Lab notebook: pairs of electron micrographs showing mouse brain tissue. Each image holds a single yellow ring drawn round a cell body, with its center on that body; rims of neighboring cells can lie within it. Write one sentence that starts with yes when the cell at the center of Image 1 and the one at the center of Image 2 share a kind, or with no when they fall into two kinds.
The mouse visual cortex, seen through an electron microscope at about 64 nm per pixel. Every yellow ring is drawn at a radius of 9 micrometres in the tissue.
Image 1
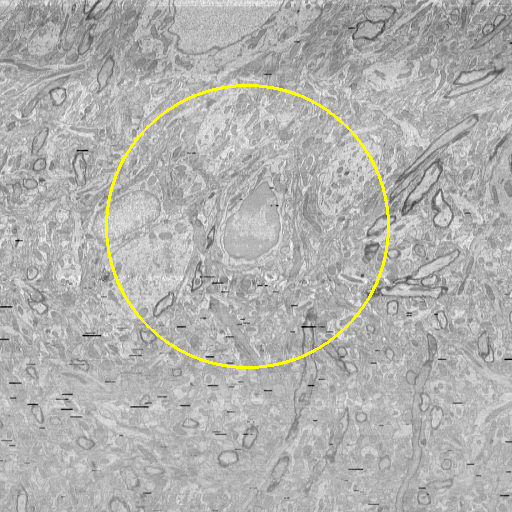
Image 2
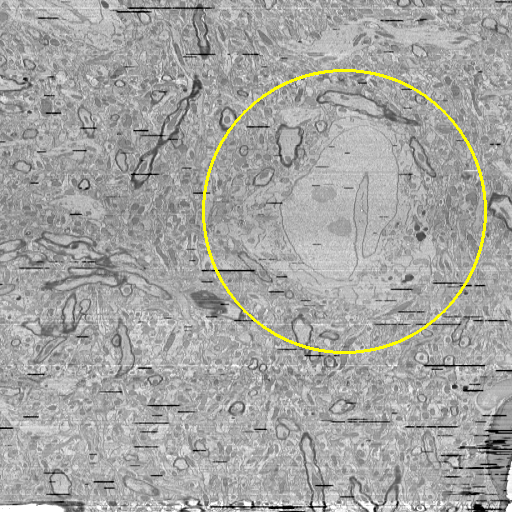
No, the centered cell in Image 1 and the centered cell in Image 2 are of two kinds.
